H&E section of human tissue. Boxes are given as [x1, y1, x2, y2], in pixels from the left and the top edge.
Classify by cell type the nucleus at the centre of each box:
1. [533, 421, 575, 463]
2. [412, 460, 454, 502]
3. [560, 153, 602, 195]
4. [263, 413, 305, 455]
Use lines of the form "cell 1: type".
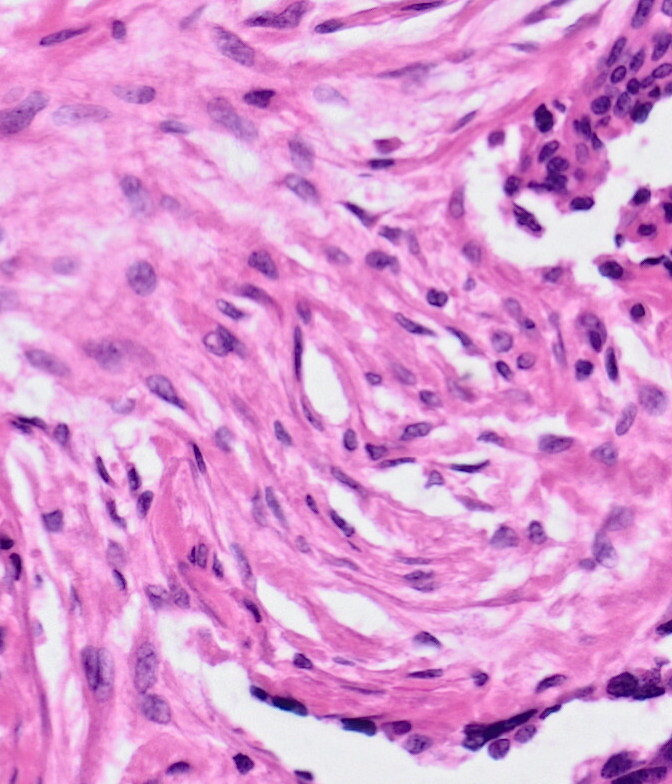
cell 1: fibroblast
cell 2: fibroblast
cell 3: carcinoma cell
cell 4: fibroblast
